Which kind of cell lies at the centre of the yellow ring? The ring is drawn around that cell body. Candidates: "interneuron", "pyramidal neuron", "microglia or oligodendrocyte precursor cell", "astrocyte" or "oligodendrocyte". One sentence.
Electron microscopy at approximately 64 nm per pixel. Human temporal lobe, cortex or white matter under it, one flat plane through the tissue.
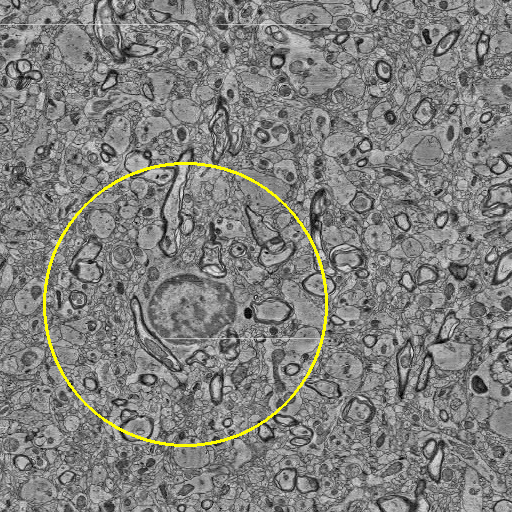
Lying at the centre of the ring is an oligodendrocyte.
